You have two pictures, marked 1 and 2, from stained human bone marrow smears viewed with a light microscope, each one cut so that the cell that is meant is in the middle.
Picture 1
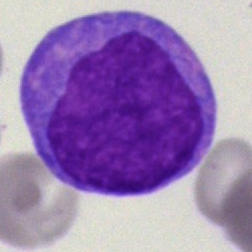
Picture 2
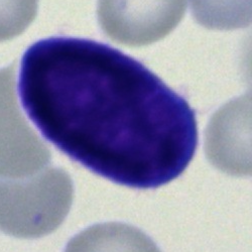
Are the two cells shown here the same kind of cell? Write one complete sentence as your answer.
Yes; the cells in both pictures are blasts.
